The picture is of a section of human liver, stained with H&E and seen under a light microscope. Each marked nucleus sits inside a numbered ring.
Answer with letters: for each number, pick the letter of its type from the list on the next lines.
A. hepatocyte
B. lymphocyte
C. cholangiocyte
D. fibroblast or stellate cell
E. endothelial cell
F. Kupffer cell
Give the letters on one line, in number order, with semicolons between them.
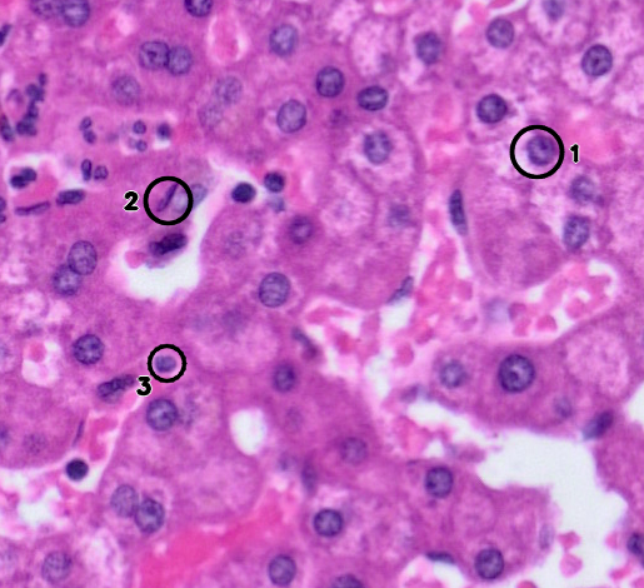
A; D; B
